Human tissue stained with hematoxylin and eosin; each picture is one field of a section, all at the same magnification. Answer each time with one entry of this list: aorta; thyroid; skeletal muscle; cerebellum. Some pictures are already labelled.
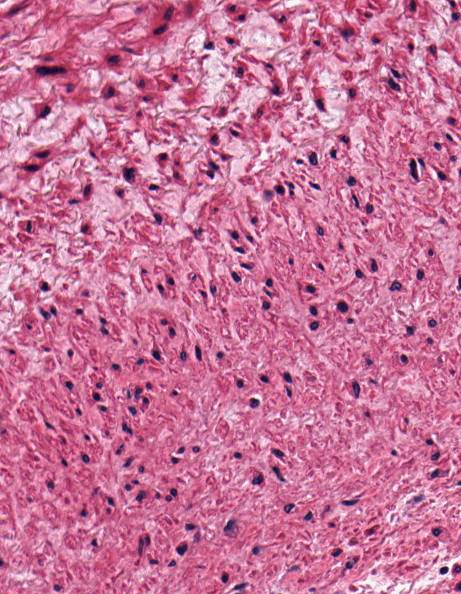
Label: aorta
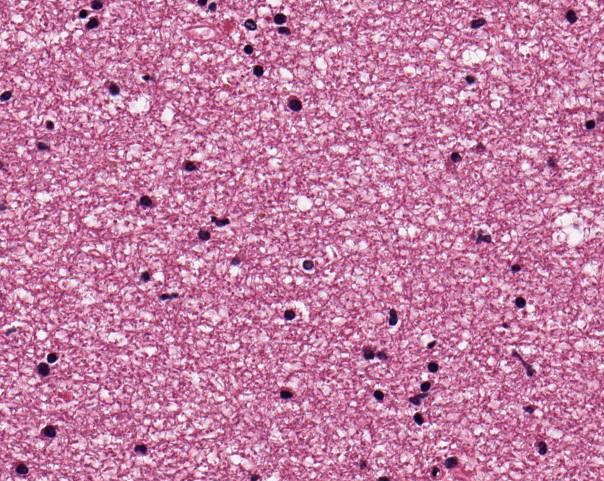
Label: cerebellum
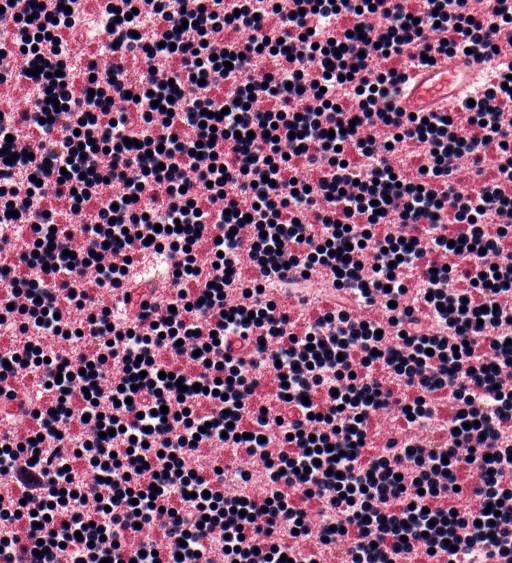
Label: cerebellum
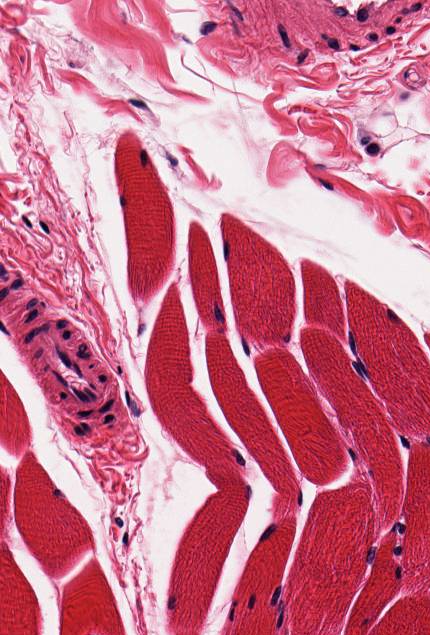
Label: skeletal muscle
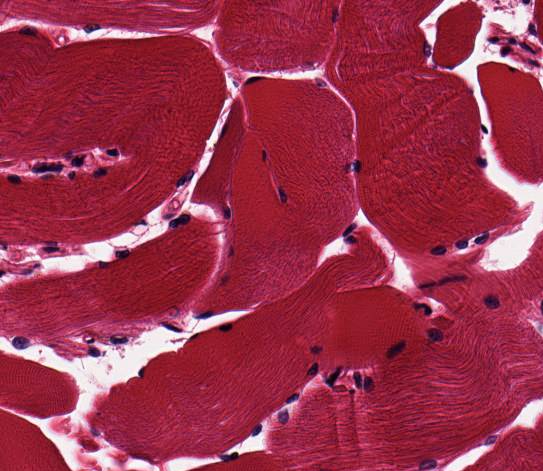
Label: skeletal muscle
